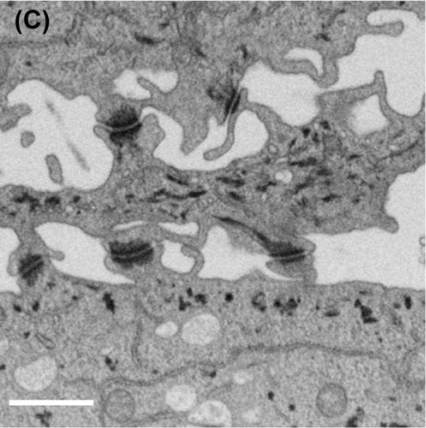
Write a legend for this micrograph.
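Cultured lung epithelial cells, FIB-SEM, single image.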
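The cell surfaces form many folds and finger-like projections into these spaces. Where membranes of adjacent cells meet, short dense paired plaques mark desmosomes holding the cells together. Thin dark filamentous strands, the intermediate filaments, run through the cytoplasm, and several converge toward the plaques. The cytoplasm is finely granular grey with scattered small dark particles, and pale round vesicles and a few organelle profiles lie in the lower cell.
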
